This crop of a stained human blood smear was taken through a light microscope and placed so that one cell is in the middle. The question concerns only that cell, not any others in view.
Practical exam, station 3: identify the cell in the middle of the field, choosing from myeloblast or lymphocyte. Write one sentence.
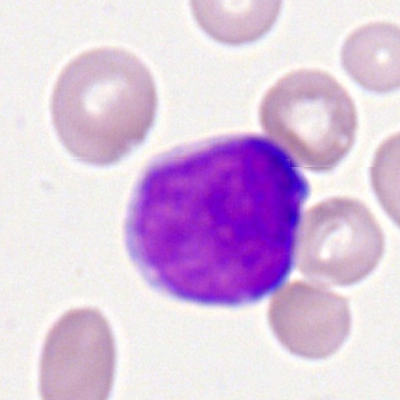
Of the cells in this crop, the central one is a myeloblast.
